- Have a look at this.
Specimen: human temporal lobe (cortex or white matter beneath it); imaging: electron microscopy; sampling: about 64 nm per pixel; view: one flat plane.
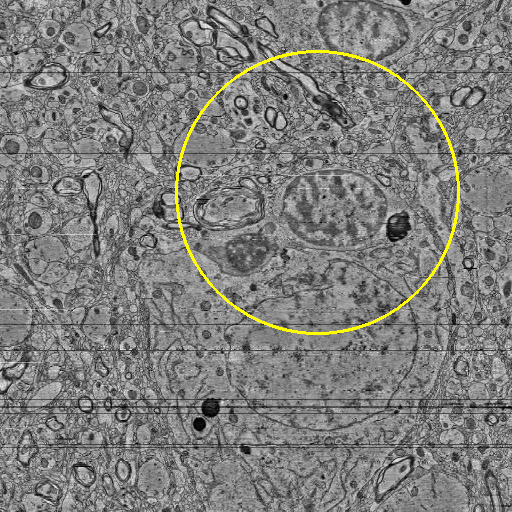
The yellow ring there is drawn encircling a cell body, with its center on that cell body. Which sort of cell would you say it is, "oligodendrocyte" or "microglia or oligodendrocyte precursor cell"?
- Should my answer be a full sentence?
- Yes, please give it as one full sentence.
For this picture, an oligodendrocyte is the cell where the yellow ring has its center.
